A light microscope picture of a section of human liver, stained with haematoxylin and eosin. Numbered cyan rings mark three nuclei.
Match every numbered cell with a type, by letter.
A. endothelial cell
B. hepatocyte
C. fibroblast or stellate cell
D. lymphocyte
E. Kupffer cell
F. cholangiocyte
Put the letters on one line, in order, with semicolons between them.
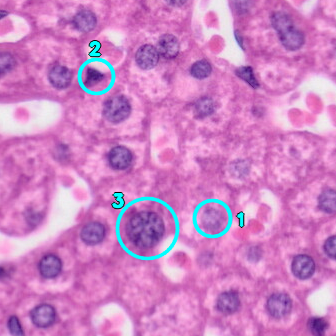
B; C; B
